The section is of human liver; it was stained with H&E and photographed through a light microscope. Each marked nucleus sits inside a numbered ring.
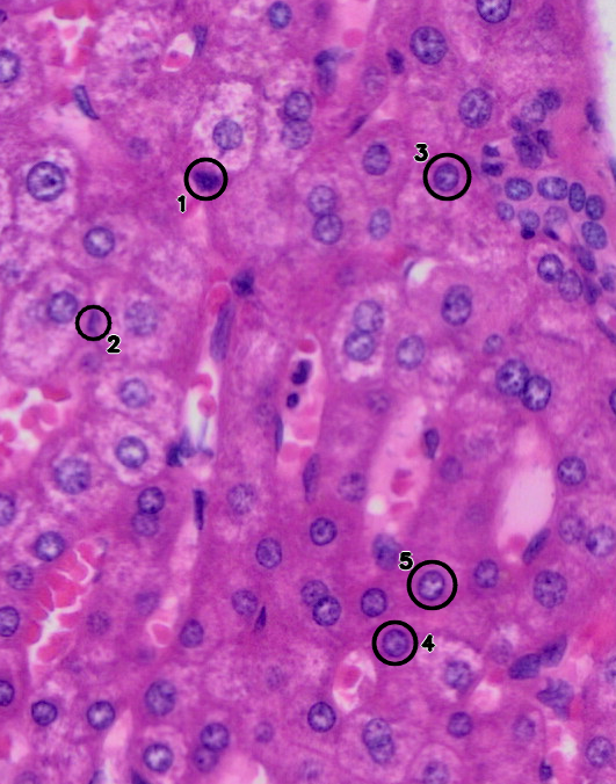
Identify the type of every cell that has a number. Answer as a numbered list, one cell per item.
1. fibroblast or stellate cell
2. fibroblast or stellate cell
3. hepatocyte
4. hepatocyte
5. hepatocyte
